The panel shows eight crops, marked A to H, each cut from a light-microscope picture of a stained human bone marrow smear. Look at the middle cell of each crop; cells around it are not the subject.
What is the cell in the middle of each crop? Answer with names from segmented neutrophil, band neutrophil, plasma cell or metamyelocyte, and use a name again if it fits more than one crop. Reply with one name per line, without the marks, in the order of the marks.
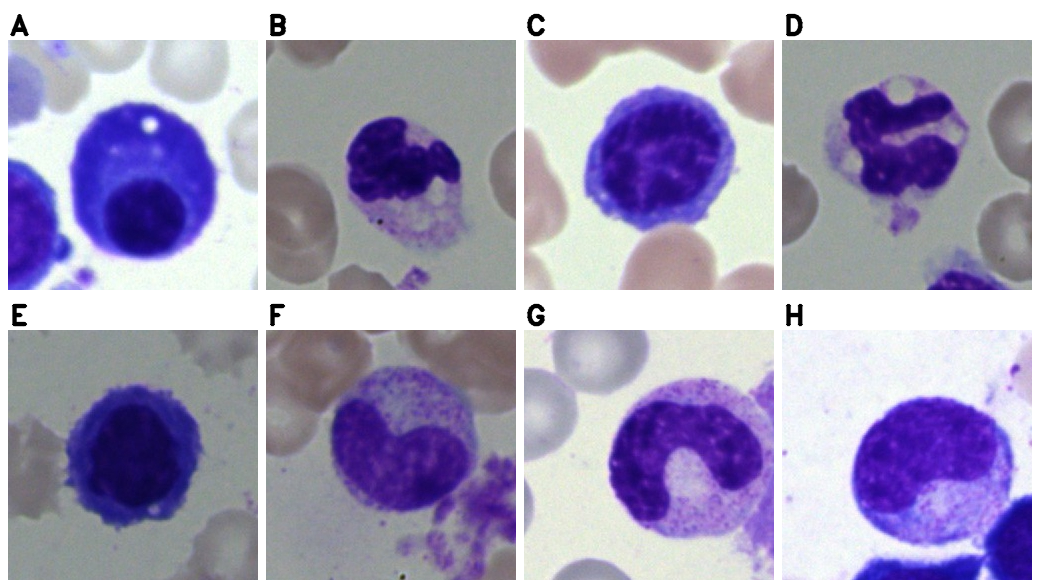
plasma cell
segmented neutrophil
plasma cell
segmented neutrophil
plasma cell
metamyelocyte
band neutrophil
metamyelocyte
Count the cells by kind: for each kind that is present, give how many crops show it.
plasma cell: 3
segmented neutrophil: 2
metamyelocyte: 2
band neutrophil: 1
